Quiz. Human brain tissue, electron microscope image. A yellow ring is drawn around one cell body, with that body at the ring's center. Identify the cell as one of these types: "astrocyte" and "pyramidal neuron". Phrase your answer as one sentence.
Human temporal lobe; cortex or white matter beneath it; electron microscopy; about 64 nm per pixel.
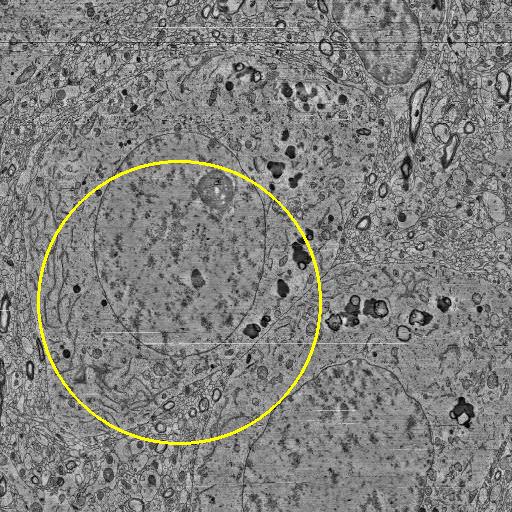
At the center of the ring sits a pyramidal neuron.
